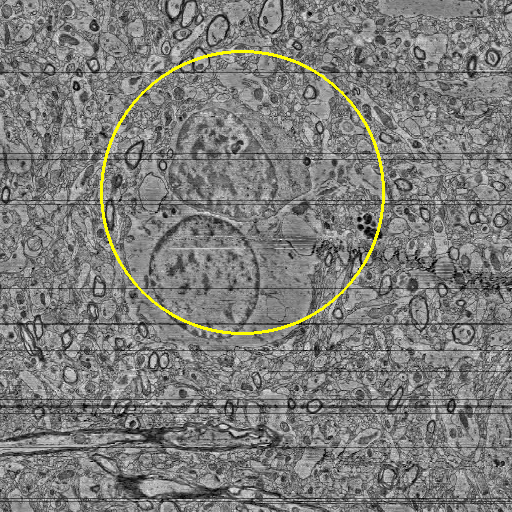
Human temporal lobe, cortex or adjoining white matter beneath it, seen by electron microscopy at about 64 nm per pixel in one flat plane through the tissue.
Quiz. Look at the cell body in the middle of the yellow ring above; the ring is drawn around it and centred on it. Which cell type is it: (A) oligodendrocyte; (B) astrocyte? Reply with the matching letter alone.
A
